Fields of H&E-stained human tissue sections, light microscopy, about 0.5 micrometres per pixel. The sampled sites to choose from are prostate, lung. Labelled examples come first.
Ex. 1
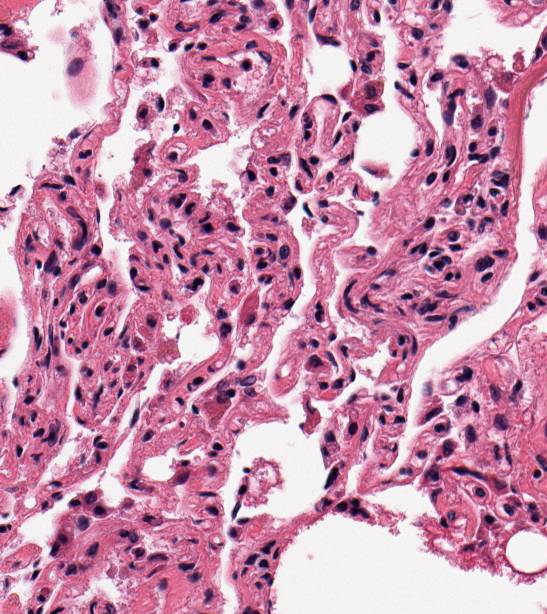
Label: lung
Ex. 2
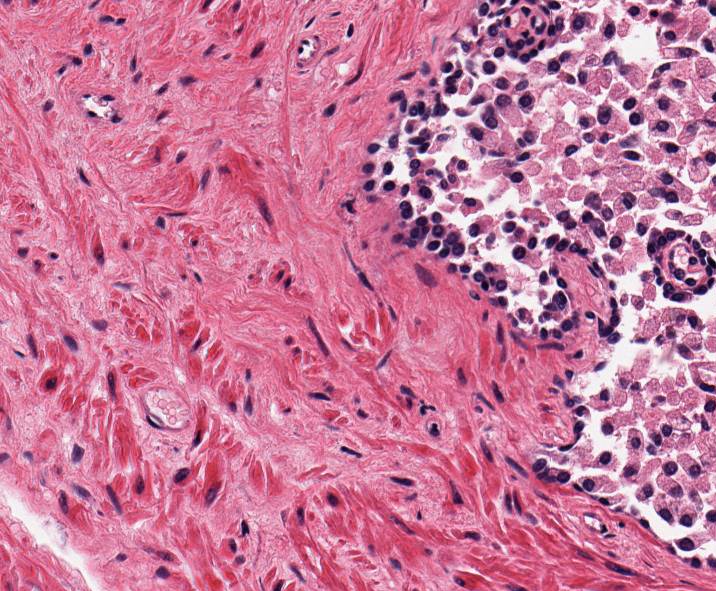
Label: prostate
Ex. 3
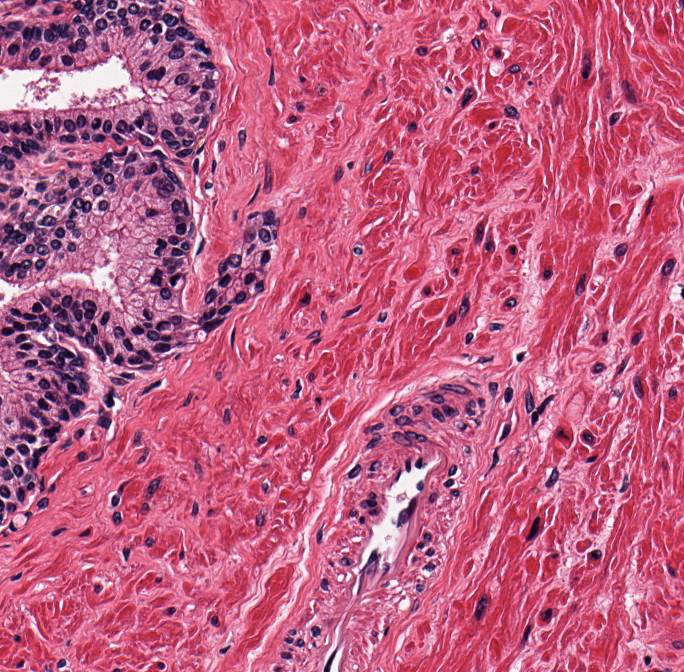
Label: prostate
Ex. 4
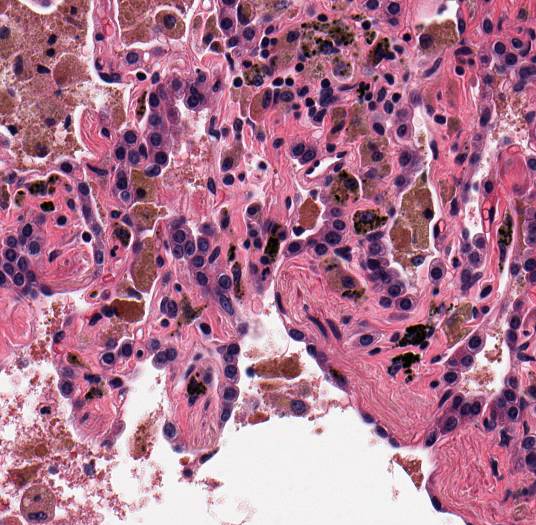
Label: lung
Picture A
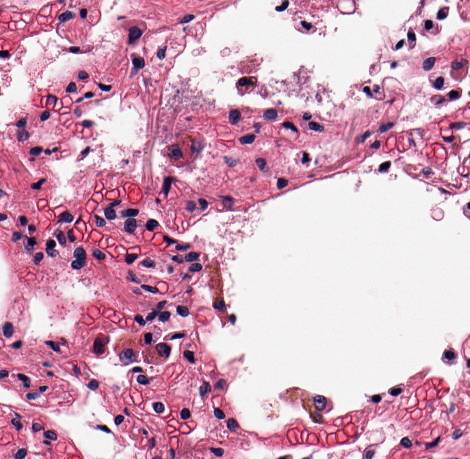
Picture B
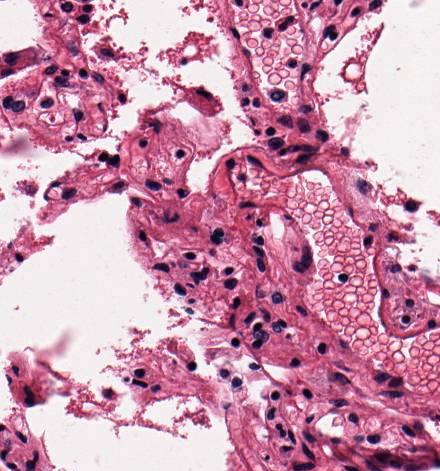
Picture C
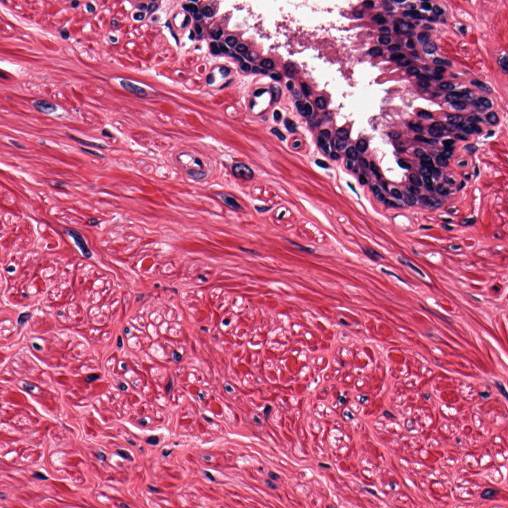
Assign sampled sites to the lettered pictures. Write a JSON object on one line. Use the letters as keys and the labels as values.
{"A": "lung", "B": "lung", "C": "prostate"}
